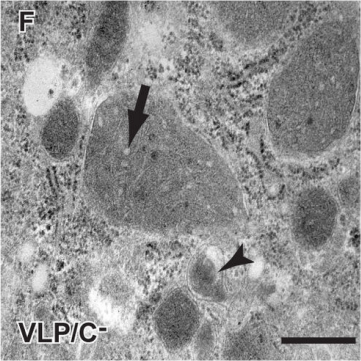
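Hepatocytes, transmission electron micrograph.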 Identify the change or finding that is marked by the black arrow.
Dilated cristae.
